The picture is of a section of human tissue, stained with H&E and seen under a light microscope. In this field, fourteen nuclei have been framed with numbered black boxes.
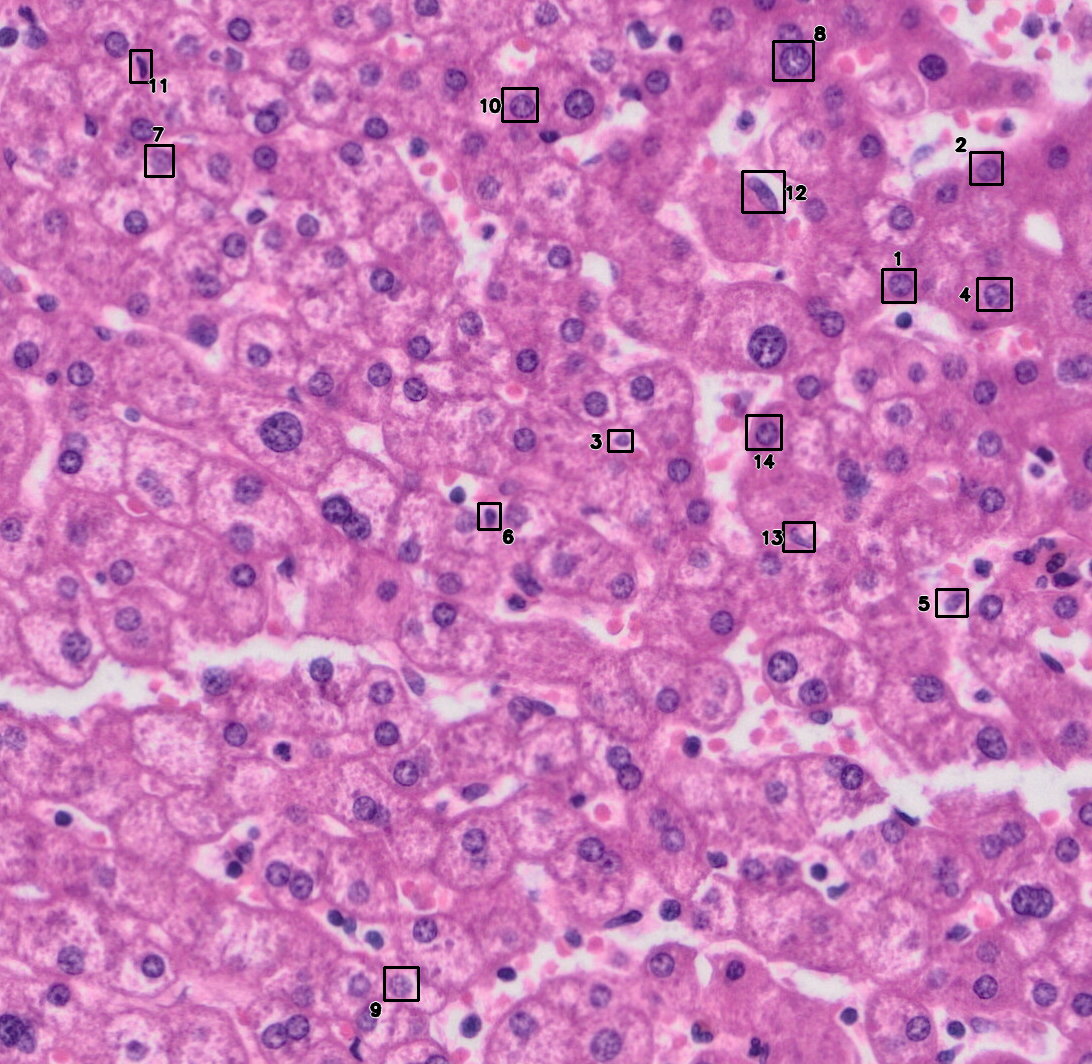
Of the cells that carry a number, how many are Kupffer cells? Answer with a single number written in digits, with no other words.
2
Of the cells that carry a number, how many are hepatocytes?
8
